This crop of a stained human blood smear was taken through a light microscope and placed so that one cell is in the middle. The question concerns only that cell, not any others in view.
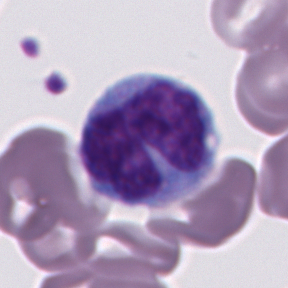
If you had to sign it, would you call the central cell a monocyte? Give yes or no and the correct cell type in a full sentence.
Yes, the cell at the crop's center is a monocyte.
